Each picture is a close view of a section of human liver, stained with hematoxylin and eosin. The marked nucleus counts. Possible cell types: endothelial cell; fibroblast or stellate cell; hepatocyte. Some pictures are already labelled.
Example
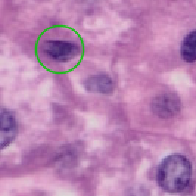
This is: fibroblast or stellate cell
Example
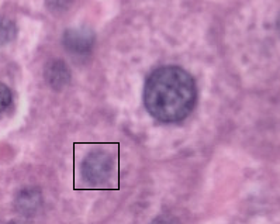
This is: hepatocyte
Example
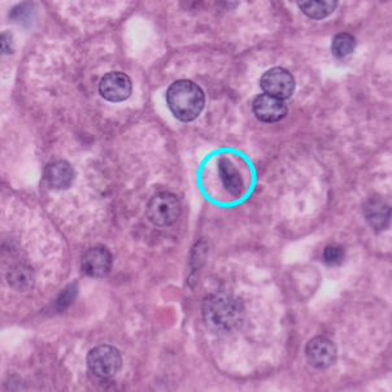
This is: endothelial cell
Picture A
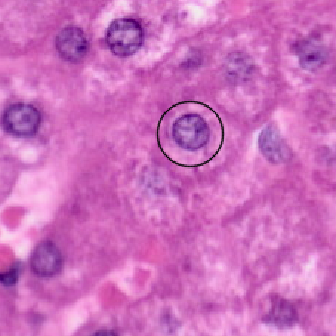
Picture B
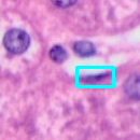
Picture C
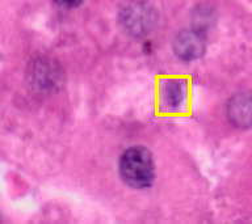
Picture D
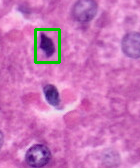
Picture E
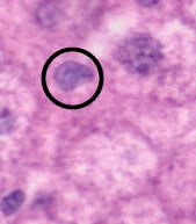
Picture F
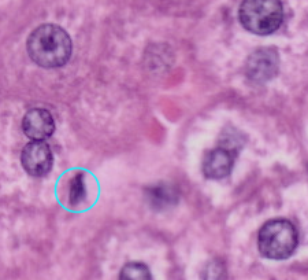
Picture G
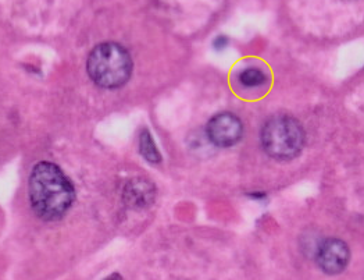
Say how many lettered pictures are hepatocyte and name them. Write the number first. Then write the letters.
1: A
